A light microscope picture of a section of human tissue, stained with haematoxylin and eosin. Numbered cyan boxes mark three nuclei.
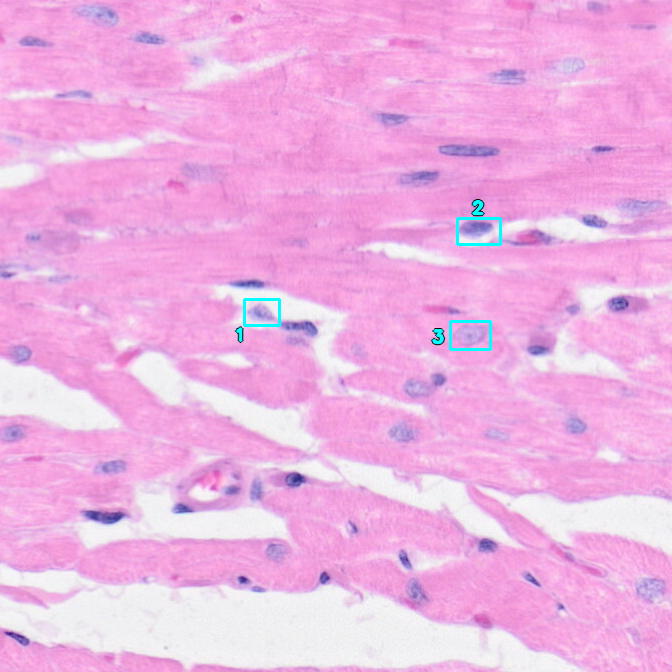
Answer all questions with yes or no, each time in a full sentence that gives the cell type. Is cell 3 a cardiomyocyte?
Yes, regarding cell number 3, it is a cardiomyocyte.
